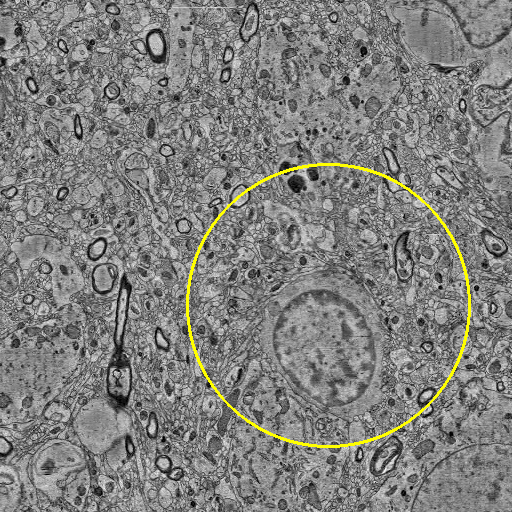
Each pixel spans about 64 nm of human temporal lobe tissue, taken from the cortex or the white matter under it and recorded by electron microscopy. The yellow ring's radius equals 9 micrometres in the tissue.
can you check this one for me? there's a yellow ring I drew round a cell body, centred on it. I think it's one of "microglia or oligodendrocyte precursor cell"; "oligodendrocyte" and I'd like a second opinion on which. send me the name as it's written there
oligodendrocyte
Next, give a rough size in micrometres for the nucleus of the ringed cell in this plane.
In this plane, the nucleus is roughly 8 by 6 micrometres.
